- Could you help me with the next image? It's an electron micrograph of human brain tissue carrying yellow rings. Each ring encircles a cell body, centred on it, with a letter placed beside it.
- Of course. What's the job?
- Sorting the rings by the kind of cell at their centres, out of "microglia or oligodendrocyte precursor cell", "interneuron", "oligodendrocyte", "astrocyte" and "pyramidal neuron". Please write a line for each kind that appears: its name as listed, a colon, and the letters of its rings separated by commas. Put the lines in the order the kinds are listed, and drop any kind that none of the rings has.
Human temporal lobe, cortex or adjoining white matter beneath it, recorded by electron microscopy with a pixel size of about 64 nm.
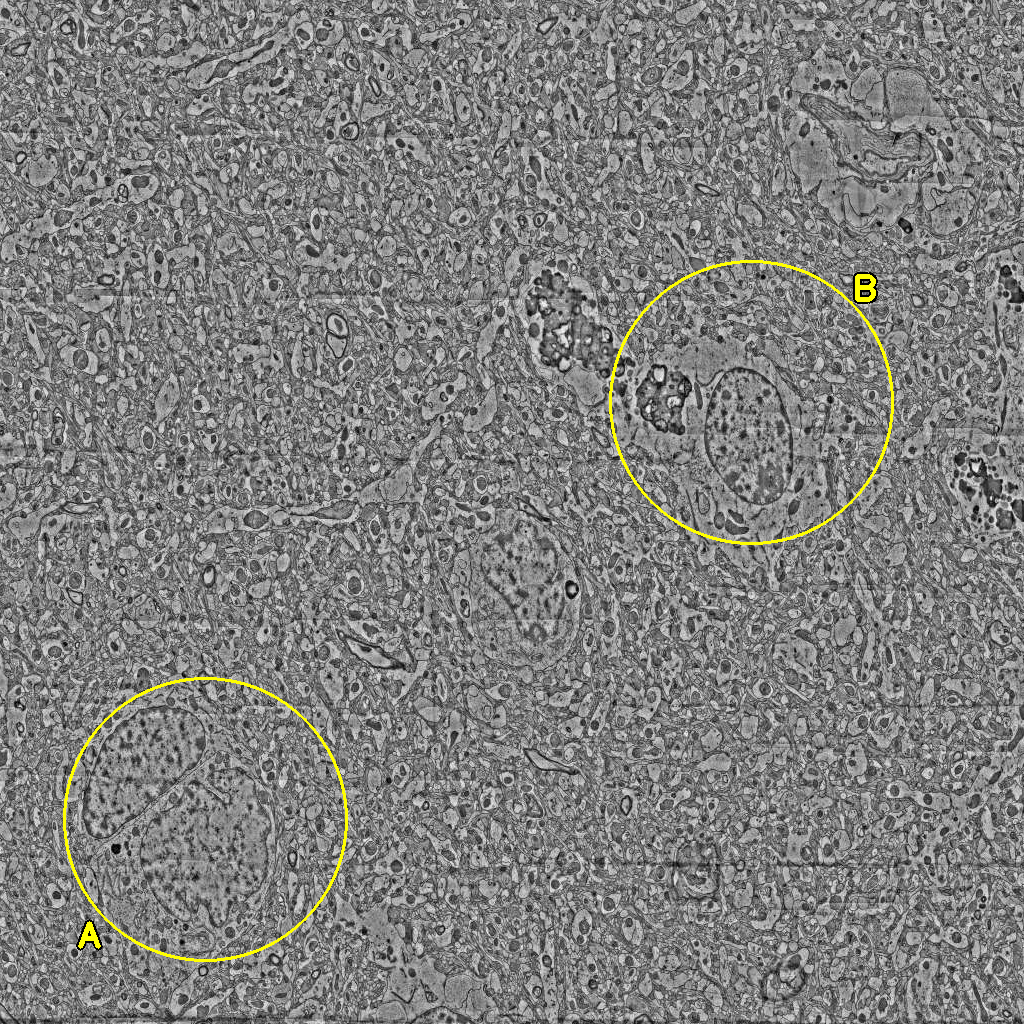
interneuron: A
astrocyte: B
